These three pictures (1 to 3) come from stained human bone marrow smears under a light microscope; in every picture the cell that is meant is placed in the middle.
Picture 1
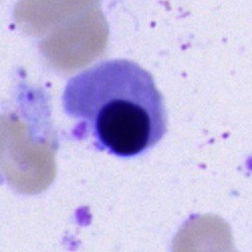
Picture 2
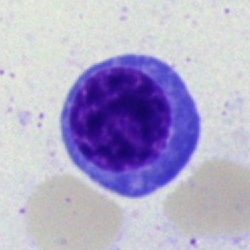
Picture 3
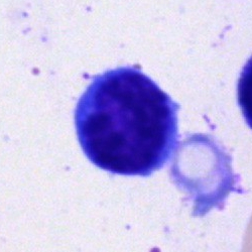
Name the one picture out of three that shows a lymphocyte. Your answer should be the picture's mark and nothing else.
3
